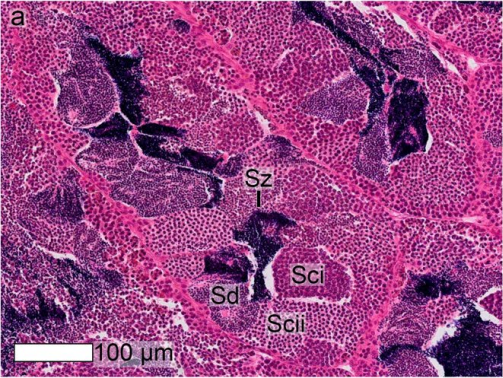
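This is testis with germ cells at all spermatogenic stages, arranged in cysts separated by thin pink septa. In the lumens between the cysts lie dark purple masses of tiny condensed cells, the spermatozoa.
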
